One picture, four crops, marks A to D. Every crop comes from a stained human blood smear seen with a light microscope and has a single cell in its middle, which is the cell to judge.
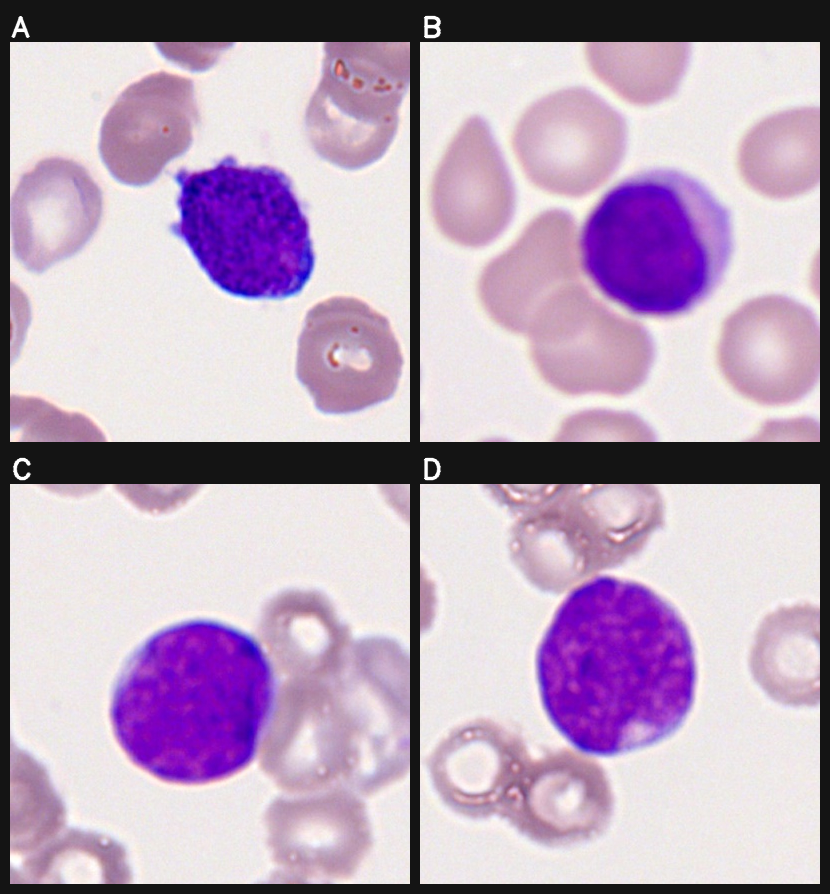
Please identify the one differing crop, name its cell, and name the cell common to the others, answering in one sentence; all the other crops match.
Crop B shows a lymphocyte; by contrast, all the other crops show blasts.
